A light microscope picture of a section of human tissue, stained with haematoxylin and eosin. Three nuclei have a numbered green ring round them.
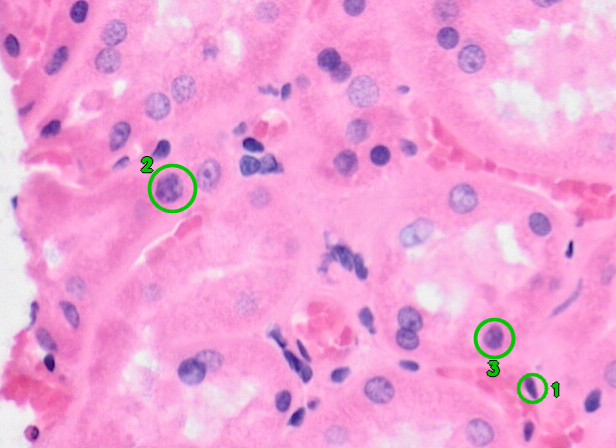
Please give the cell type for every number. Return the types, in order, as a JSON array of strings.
["endothelial cell", "proximal tubule cell", "proximal tubule cell"]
